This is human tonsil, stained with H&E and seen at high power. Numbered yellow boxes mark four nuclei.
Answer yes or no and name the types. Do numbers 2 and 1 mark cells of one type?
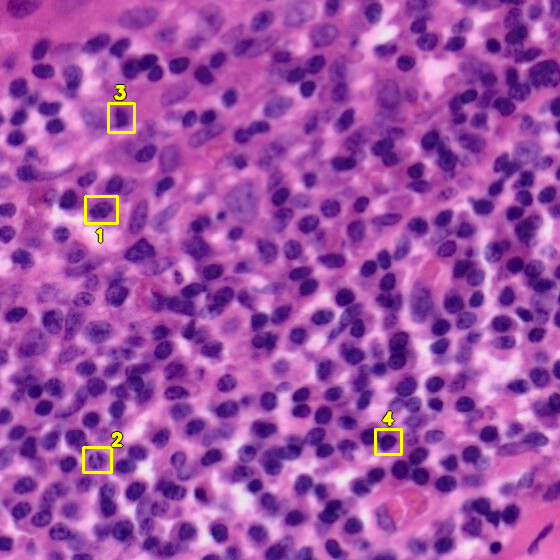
Yes, both are plasma cells.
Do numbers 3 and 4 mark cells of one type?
No, cell 3 is a squamous epithelial cell and cell 4 is a plasma cell.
